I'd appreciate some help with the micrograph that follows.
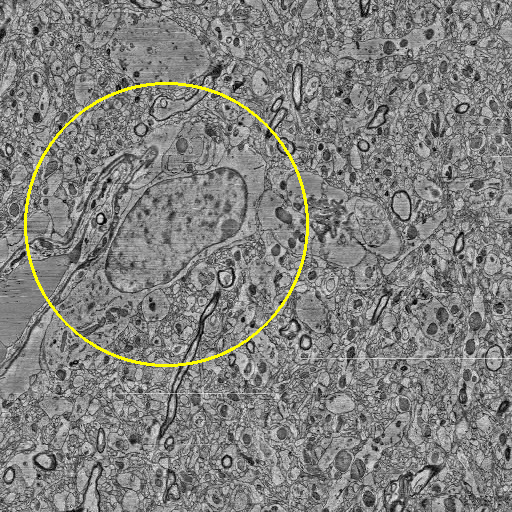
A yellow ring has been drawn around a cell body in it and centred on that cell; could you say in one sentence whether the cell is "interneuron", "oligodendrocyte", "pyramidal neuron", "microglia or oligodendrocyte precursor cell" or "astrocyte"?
It is a microglial cell or oligodendrocyte precursor cell at the centre of the ring.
